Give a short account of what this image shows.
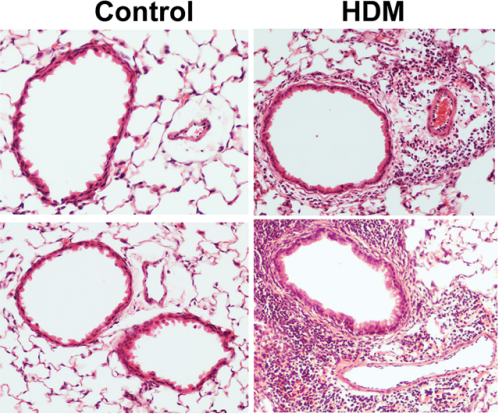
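Four views of lung show cross-sectioned bronchioles lined by a pink cuboidal to columnar epithelium, set among thin-walled alveoli. In the two left-hand images the bronchioles are surrounded directly by delicate alveolar septa with only a thin rim of connective tissue. In the two right-hand images the connective tissue around the bronchioles and neighbouring blood vessels is thickened and crowded with many small cells with dark round nuclei. The crowding is heaviest in the lower right image, where broad sheets of these cells encircle the airway and spread between it and the adjacent vessel.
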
